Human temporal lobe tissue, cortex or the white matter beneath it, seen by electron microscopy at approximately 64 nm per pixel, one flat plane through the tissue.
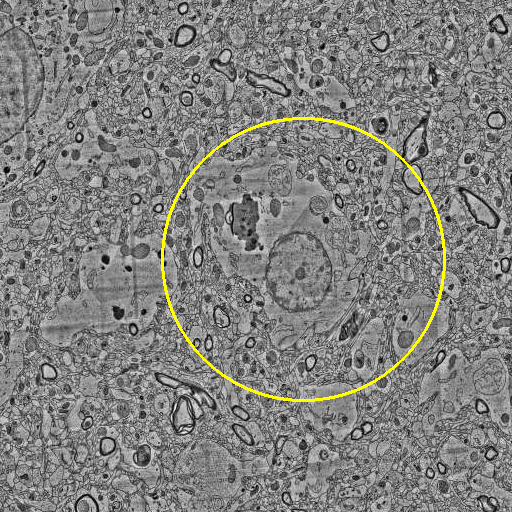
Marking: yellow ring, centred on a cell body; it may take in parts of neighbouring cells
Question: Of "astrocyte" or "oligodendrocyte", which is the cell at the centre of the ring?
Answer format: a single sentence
The ring surrounds the body of an astrocyte.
